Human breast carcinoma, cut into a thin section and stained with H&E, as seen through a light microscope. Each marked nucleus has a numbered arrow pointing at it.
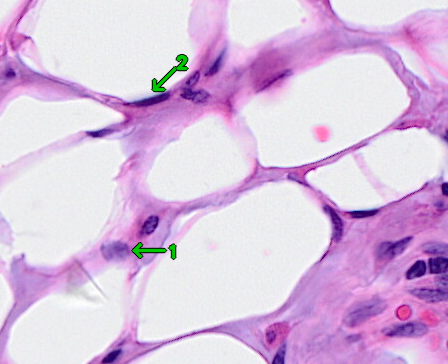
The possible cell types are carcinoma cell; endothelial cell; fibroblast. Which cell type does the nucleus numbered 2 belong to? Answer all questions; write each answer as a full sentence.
Denoted by the label 2 in the section is an endothelial cell.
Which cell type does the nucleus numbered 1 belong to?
In the tissue shown, cell 1 is a fibroblast.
